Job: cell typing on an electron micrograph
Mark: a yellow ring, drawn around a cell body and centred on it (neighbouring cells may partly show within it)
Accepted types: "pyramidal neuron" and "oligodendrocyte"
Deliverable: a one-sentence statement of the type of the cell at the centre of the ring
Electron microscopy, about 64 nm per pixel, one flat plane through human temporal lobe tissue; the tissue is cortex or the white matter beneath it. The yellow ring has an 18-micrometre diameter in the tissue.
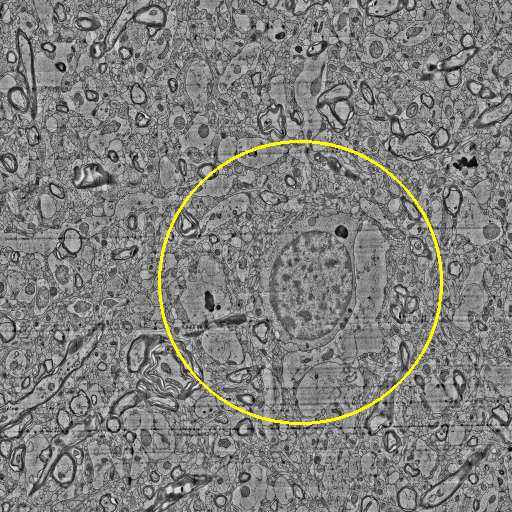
The centred cell body is that of an oligodendrocyte.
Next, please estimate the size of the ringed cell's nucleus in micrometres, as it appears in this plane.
In this plane, roughly 7 by 5 micrometres.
